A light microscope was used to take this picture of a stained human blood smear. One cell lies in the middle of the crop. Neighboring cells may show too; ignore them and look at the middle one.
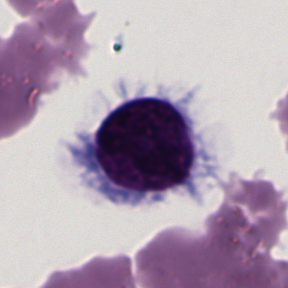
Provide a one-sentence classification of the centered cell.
Here the centrally located cell is a hairy cell.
